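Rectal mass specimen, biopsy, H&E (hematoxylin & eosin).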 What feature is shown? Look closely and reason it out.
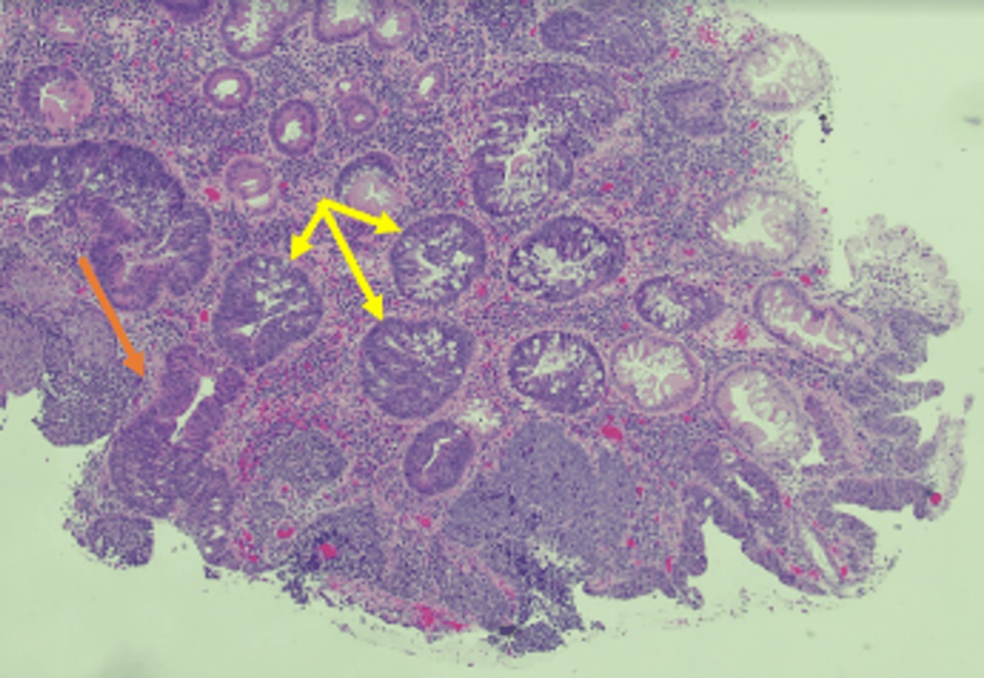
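Round and oval gland profiles lined by columnar epithelium with central lumens are scattered across the tissue. Some glands have pale mucin-rich epithelium, others have crowded dark purple epithelium.
Answer: colonic glands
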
